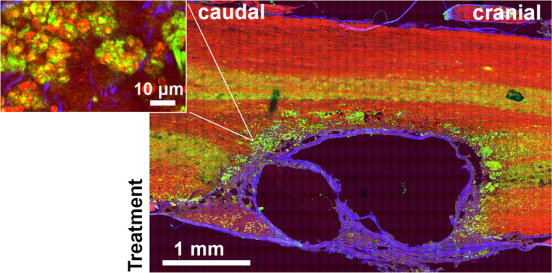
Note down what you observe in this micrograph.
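This longitudinal section shows a large, empty oval cavity lined by a thin blue fibrous wall, with yellow-green inflammatory cells clustered along its margins. The surrounding tissue is red with longitudinal bands. Yellow-green fluorescent cells are spread through the tissue on both sides of the cavity. The inset shows rounded cells filled with yellow-green and orange granular material, packed closely together.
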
